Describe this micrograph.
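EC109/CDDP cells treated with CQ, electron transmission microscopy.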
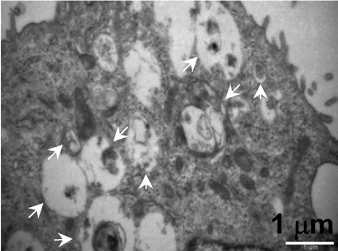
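Many vacuoles are round to irregular and contain dark membranous whorls, granular debris or smaller vesicles. Between them lies a grey cytoplasm with a few dark elongated organelles.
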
